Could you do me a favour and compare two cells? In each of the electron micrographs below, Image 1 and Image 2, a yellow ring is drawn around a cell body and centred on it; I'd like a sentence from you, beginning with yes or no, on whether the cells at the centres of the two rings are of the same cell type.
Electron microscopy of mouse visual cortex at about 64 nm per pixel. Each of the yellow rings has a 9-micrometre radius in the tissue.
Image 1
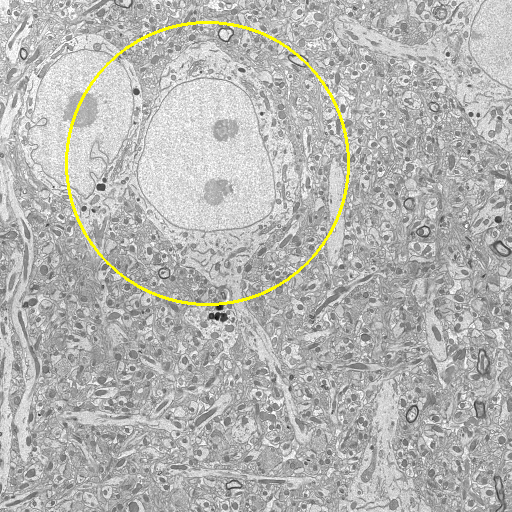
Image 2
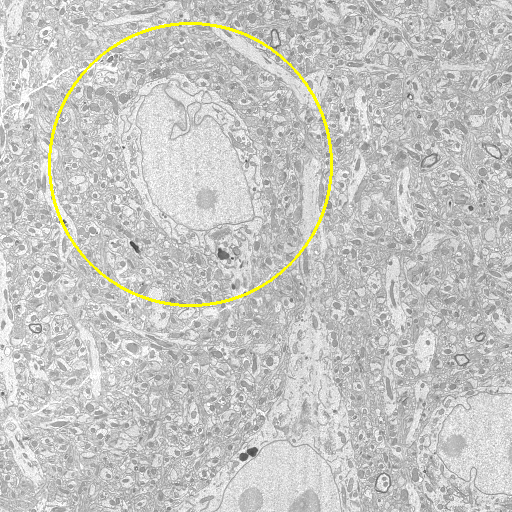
No, the two cells are of two cell types.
